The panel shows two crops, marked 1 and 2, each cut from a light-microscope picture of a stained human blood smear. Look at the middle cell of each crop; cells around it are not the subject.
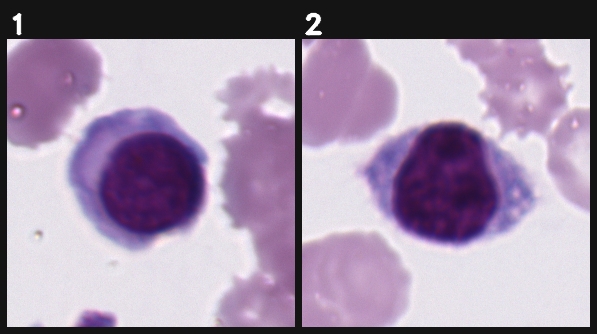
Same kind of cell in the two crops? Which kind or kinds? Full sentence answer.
Yes, both crops show hairy cells, to put it briefly.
